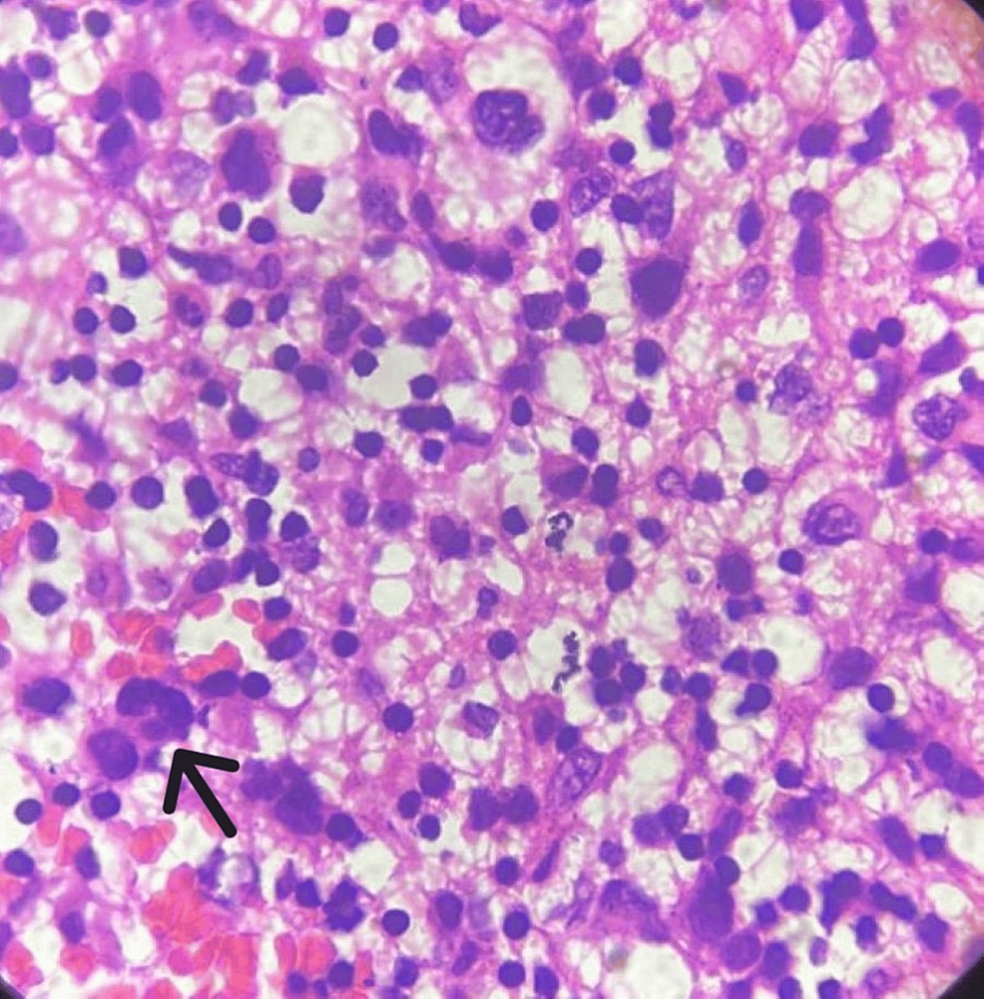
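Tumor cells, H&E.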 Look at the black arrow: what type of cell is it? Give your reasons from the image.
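The cell at the arrow tip holds more than one dark purple nuclear mass clustered together. This cell is larger than the small round dark nuclei scattered around it.
Hence: multinucleated cell.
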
